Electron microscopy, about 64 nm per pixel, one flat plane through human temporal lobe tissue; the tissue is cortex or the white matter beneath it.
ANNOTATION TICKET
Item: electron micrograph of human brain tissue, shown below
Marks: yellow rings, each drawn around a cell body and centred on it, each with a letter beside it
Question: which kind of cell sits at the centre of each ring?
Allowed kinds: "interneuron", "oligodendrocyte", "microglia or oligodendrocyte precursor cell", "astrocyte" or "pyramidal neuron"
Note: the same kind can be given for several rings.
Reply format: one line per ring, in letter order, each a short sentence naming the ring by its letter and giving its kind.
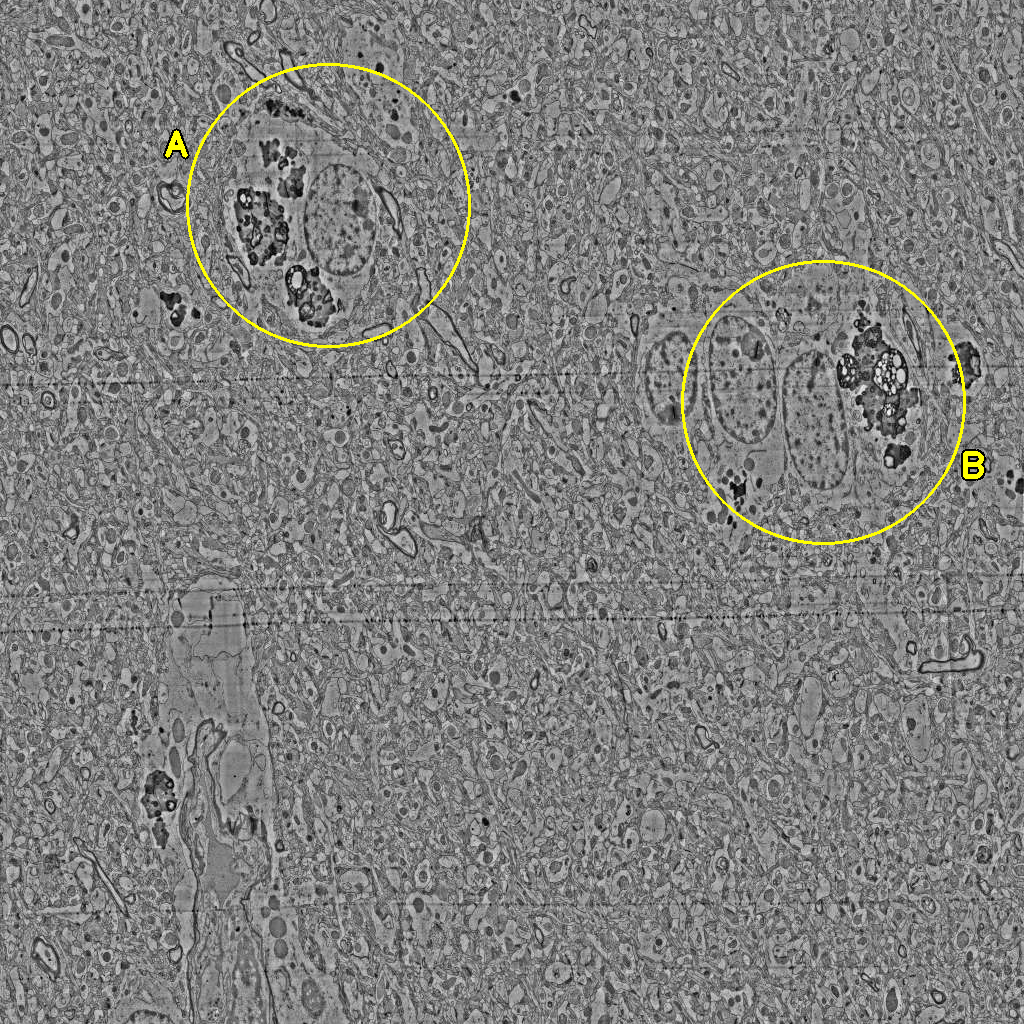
The cell at the centre of ring A is an astrocyte.
The cell at the centre of ring B is an astrocyte.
